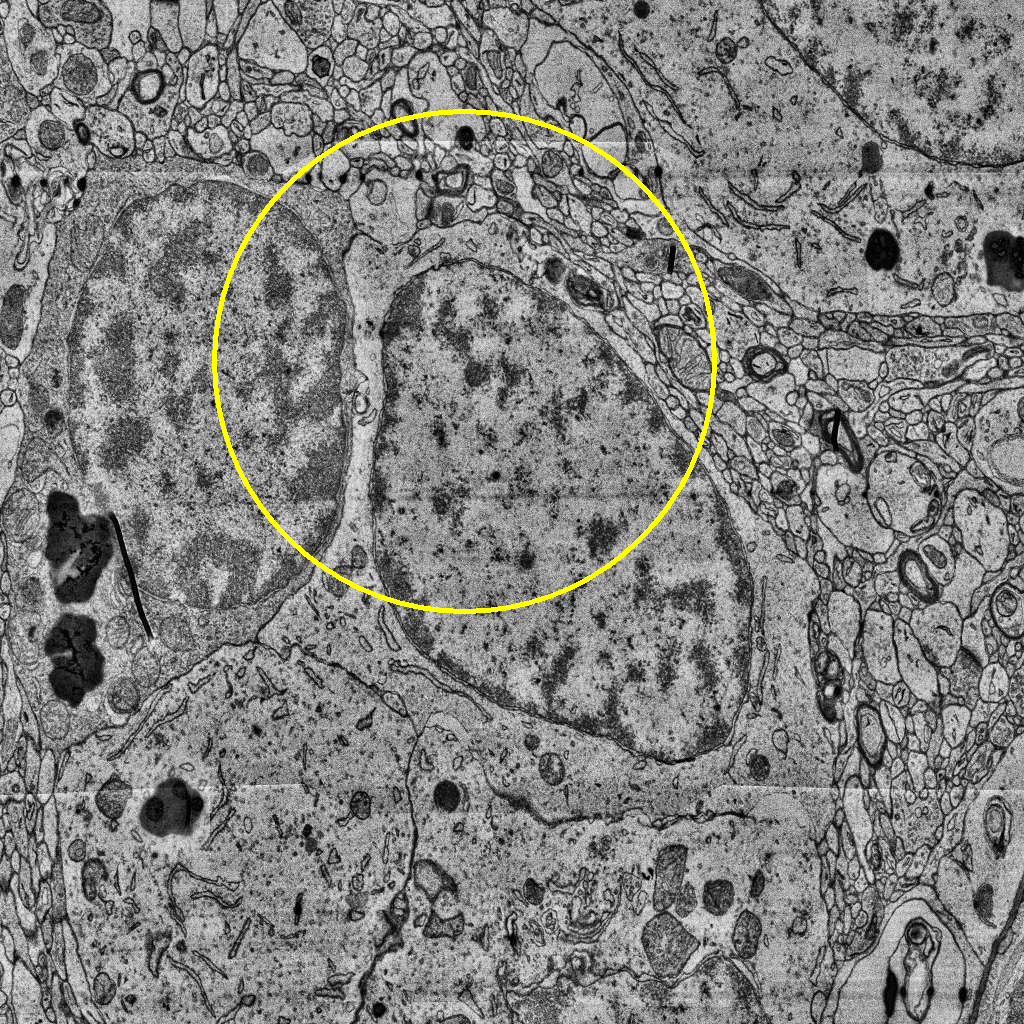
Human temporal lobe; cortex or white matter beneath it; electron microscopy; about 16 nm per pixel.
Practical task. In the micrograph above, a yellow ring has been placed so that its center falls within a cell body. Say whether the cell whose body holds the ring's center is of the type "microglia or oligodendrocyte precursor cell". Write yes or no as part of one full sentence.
Yes, the cell whose body holds the ring's center above is of the type asked about.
